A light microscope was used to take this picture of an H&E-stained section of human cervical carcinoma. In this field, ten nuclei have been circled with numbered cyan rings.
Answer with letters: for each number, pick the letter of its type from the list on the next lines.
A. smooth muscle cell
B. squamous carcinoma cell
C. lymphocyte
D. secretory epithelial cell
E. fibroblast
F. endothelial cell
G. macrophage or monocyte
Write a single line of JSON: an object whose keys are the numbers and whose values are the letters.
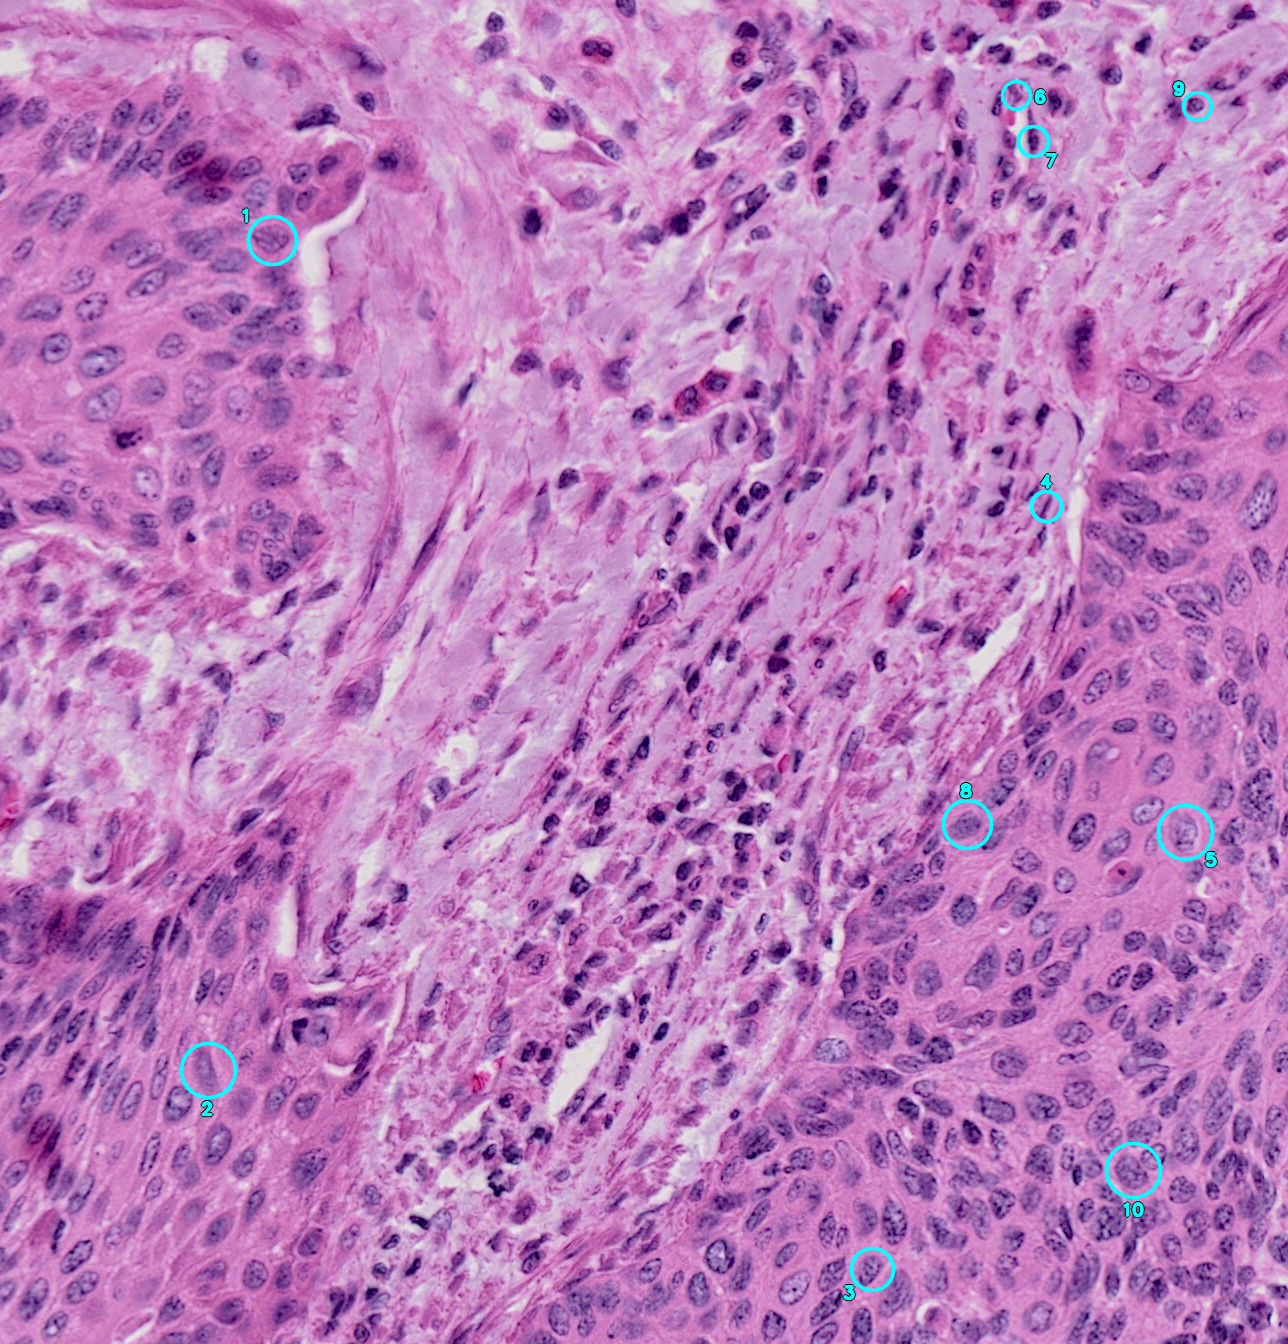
{"1": "B", "2": "B", "3": "B", "4": "E", "5": "B", "6": "F", "7": "F", "8": "B", "9": "C", "10": "B"}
